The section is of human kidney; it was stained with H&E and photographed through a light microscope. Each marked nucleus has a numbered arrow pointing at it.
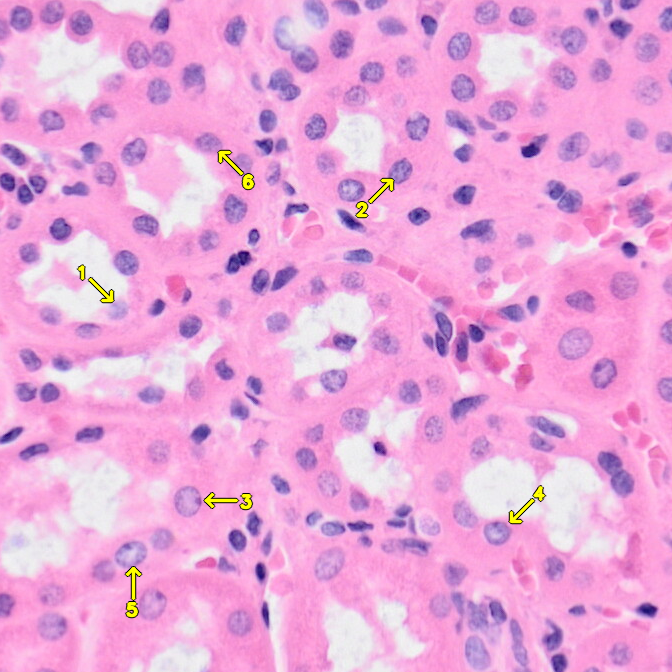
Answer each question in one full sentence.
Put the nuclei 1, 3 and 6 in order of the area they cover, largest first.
The nuclei rank 3, 6, 1, from largest to smallest.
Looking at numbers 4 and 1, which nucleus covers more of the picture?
Number 4 is larger; its area is about 1.5 times that of number 1.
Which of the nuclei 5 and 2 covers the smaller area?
Nucleus 2 is the smaller one; nucleus 5 covers about 1.5 times its area.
